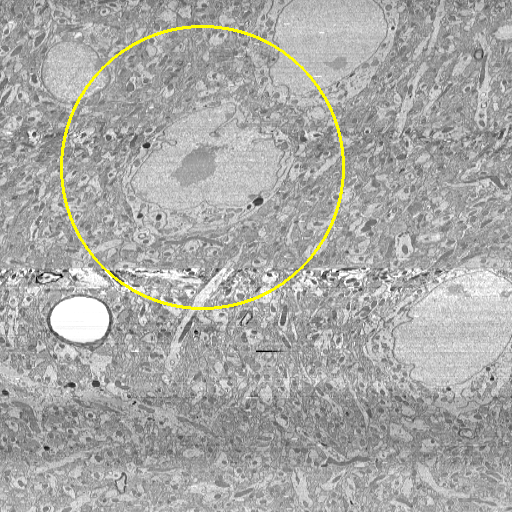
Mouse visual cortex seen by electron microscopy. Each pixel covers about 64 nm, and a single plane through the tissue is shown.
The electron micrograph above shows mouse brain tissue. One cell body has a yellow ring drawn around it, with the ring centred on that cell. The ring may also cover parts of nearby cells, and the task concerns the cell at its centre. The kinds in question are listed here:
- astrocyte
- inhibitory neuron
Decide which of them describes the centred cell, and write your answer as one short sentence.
The centred cell is an inhibitory neuron.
